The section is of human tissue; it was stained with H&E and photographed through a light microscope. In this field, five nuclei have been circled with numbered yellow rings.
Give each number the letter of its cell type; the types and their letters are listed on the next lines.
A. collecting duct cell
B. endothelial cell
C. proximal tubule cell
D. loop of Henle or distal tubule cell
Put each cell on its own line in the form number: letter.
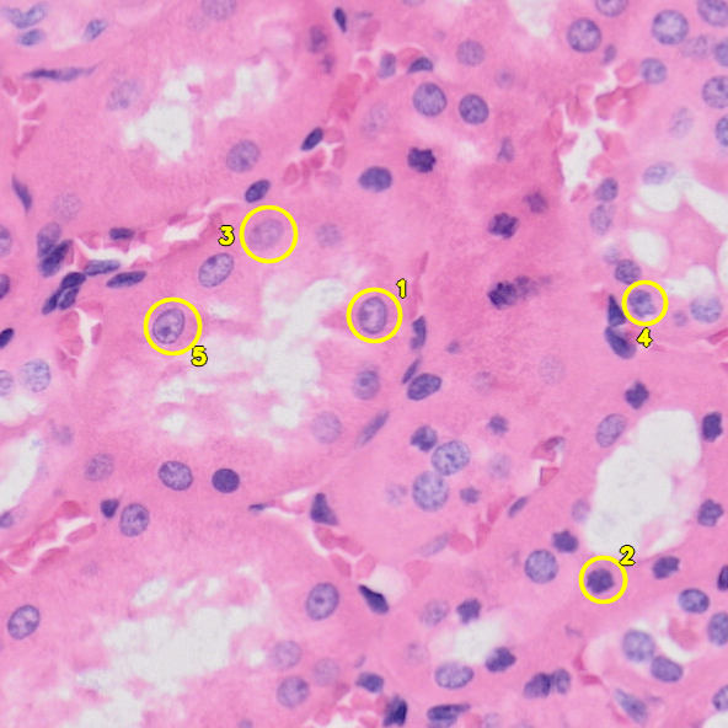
1: C
2: D
3: C
4: A
5: C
